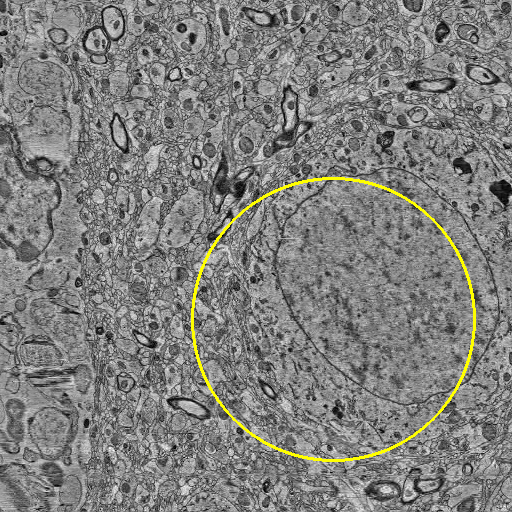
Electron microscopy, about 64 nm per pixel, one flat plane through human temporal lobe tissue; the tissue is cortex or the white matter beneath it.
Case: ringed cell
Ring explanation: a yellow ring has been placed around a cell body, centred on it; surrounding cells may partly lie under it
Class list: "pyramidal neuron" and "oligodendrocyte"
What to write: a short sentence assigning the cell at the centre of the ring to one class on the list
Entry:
The cell at the ring's centre is a pyramidal neuron.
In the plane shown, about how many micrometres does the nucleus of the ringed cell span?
About 16 micrometres by about 13 micrometres in this plane.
